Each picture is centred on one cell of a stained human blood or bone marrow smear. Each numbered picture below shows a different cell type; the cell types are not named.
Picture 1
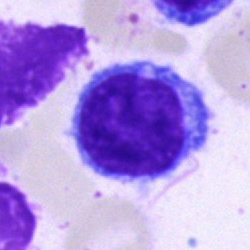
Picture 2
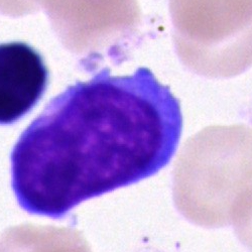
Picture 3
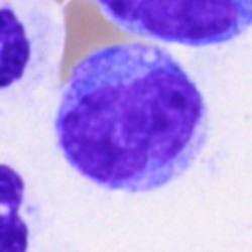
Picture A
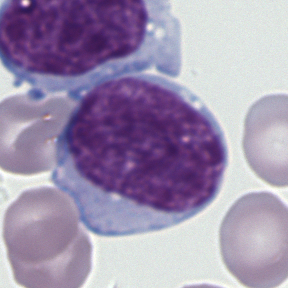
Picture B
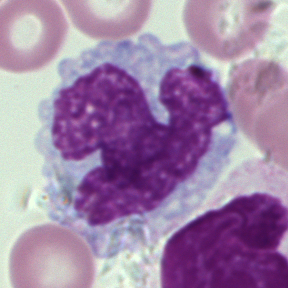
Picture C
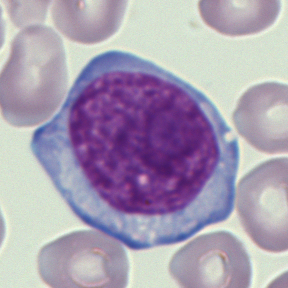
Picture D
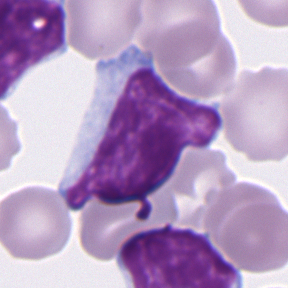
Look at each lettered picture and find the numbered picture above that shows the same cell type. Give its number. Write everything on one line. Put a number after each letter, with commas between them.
A 2, B 3, C 2, D 1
